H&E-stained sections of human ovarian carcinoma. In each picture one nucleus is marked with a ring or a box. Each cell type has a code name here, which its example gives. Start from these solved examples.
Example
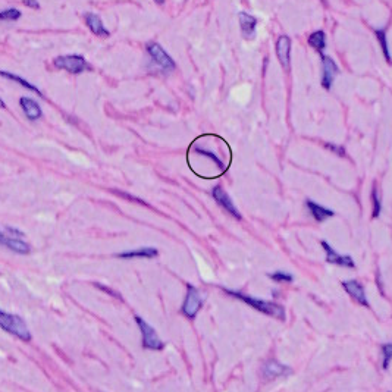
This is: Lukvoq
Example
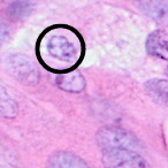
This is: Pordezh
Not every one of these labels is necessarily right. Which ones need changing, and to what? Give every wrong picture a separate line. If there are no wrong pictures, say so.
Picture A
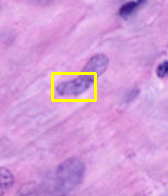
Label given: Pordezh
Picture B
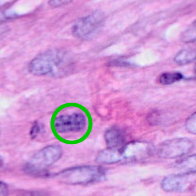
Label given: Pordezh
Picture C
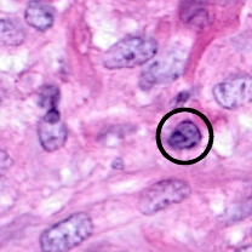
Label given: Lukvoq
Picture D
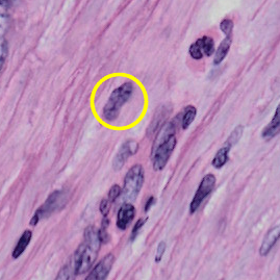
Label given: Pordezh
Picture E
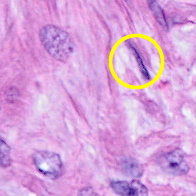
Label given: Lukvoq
C is labelled Lukvoq; correct label: Pordezh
